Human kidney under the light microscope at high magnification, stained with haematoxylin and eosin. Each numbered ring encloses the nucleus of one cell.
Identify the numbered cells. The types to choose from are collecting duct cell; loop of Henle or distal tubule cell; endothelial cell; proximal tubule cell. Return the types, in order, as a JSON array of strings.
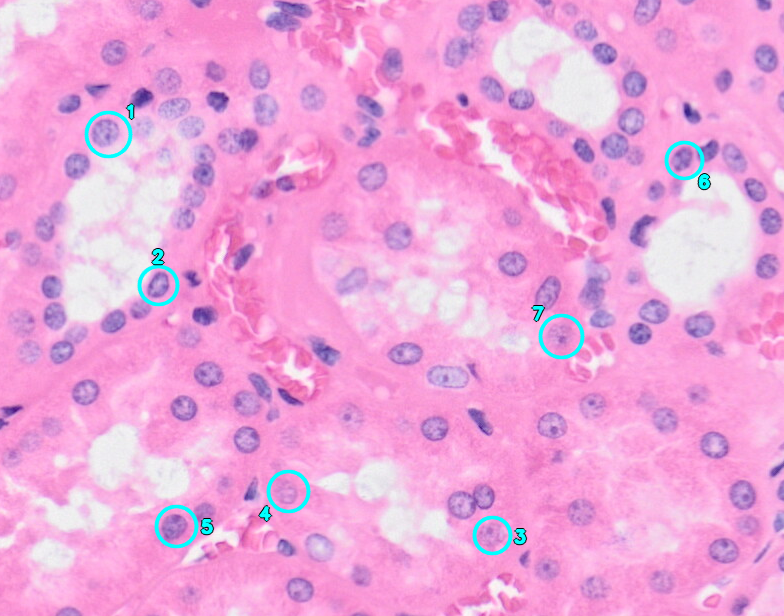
["loop of Henle or distal tubule cell", "loop of Henle or distal tubule cell", "proximal tubule cell", "proximal tubule cell", "proximal tubule cell", "loop of Henle or distal tubule cell", "proximal tubule cell"]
